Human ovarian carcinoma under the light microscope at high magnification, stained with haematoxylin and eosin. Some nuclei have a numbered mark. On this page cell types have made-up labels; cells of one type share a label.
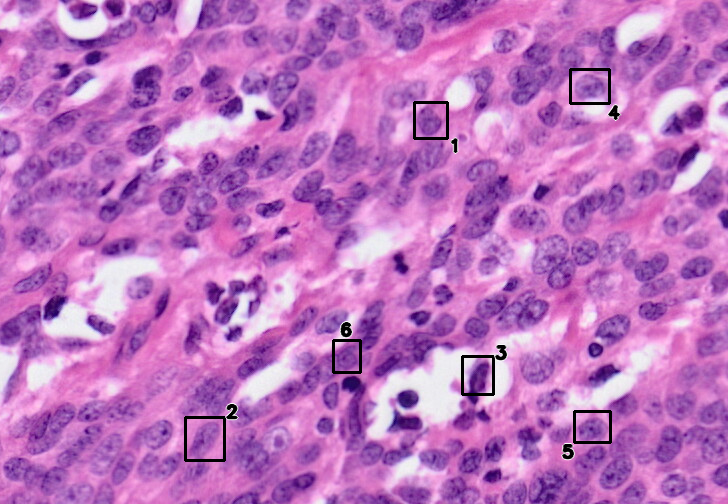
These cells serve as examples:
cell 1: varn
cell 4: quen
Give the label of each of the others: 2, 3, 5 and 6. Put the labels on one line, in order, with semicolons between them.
varn; varn; quen; varn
